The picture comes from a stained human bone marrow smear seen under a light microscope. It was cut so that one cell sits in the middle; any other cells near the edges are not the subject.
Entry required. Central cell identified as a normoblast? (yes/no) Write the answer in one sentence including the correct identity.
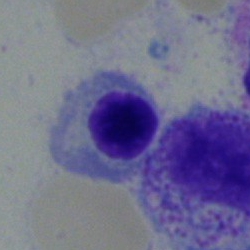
Yes, it is a normoblast that occupies the centre of the crop.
